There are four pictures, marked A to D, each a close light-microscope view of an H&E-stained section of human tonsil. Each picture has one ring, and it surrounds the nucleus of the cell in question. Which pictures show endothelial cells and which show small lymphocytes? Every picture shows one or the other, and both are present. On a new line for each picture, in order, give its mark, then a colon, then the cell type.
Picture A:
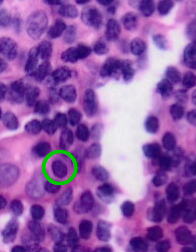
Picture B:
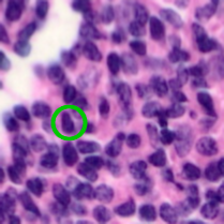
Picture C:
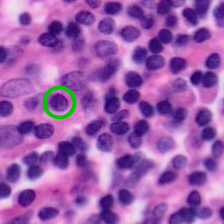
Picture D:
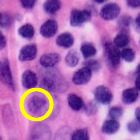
A: endothelial cell
B: small lymphocyte
C: endothelial cell
D: endothelial cell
